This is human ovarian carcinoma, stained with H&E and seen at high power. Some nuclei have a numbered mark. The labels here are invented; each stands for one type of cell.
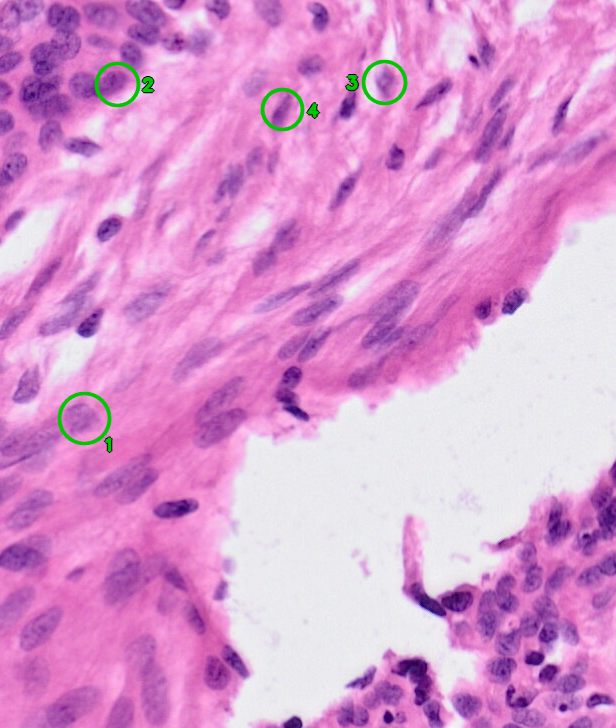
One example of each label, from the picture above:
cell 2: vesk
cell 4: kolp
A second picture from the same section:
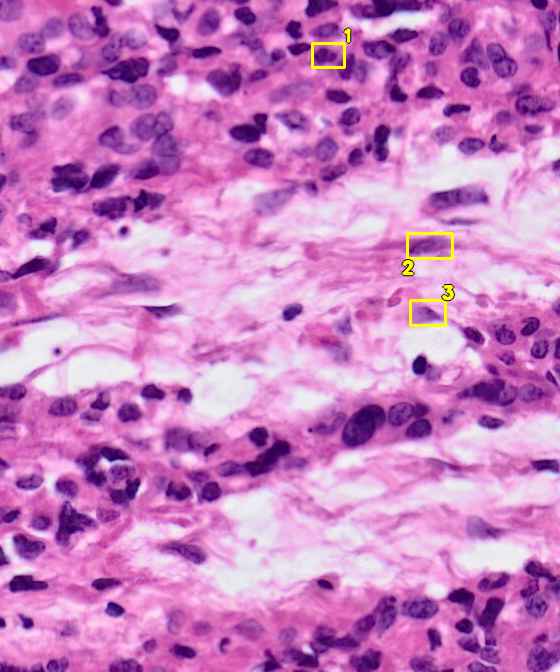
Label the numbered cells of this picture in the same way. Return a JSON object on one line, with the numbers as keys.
{"1": "vesk", "2": "kolp", "3": "kolp"}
